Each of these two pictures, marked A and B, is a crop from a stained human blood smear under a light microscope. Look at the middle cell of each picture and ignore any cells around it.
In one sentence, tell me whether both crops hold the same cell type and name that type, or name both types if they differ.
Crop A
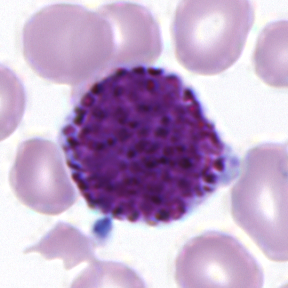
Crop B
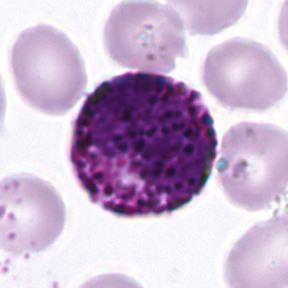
Yes, the two crops are alike in showing basophils.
